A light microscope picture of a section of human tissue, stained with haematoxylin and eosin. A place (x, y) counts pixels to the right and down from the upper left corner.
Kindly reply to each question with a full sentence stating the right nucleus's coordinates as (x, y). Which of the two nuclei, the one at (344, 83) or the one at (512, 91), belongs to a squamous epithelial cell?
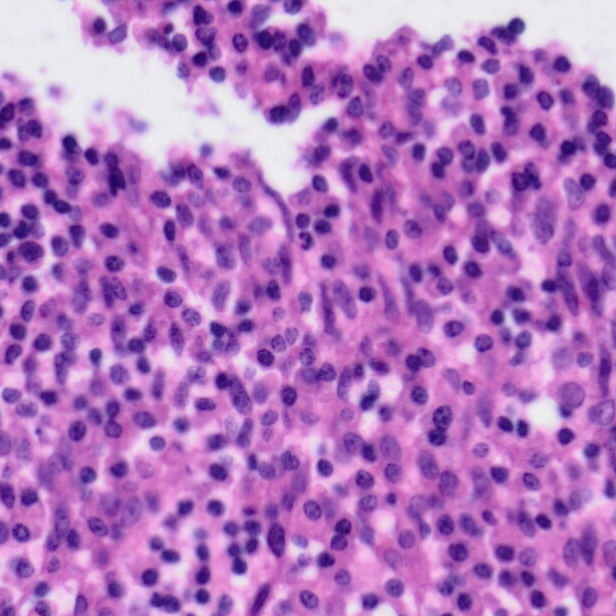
The nucleus at (344, 83) is part of a squamous epithelial cell, while the other is not.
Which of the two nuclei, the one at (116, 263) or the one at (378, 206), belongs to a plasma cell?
Of the pair, the nucleus positioned at (116, 263) is that of a plasma cell.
